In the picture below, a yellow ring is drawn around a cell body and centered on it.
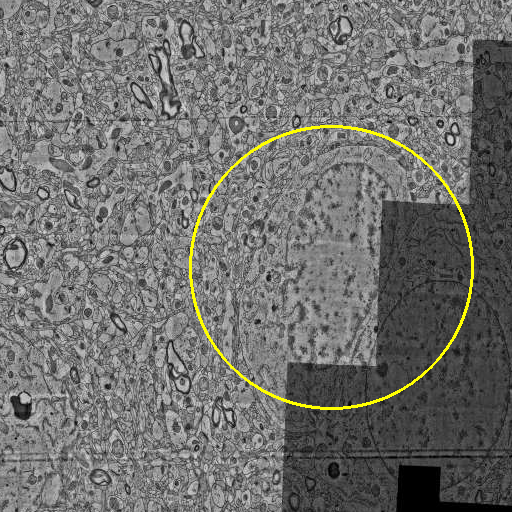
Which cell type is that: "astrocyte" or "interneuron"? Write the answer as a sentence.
The cell centered in the ring is an interneuron.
